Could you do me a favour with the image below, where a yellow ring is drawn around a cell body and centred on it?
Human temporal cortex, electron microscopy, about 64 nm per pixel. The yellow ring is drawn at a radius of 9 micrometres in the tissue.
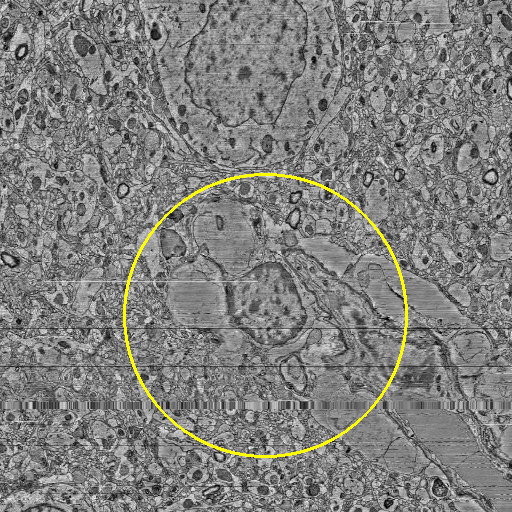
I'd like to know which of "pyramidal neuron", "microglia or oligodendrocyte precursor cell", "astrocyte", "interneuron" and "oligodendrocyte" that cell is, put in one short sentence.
The cell at the ring's centre is a microglial cell or oligodendrocyte precursor cell.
